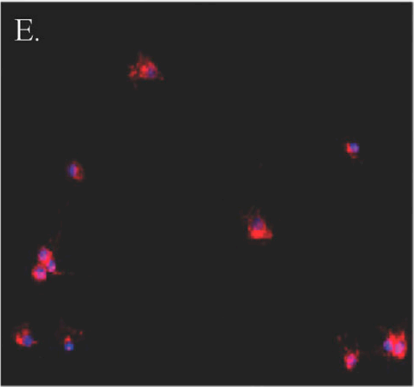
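About ten cells are scattered across the field, some alone and some in small groups of two or three. Most cells are small and rounded or slightly irregular. A few short, fine red extensions run out from some of the cell bodies.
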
